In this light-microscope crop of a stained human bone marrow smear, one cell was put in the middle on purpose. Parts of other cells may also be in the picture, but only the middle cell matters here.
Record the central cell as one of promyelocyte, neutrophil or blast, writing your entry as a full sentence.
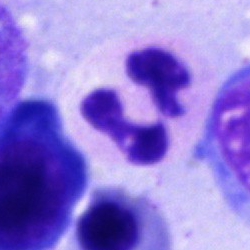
The cell under consideration, at the middle of the crop, is a neutrophil.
